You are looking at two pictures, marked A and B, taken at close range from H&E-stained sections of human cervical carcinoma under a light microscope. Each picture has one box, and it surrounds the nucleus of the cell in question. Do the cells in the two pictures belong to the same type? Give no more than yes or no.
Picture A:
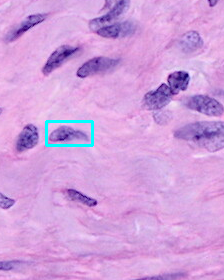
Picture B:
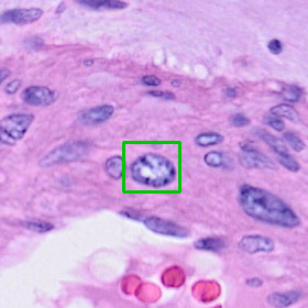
no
